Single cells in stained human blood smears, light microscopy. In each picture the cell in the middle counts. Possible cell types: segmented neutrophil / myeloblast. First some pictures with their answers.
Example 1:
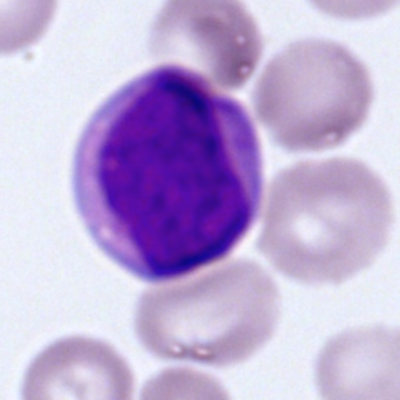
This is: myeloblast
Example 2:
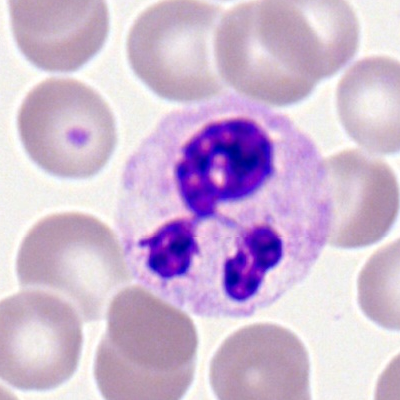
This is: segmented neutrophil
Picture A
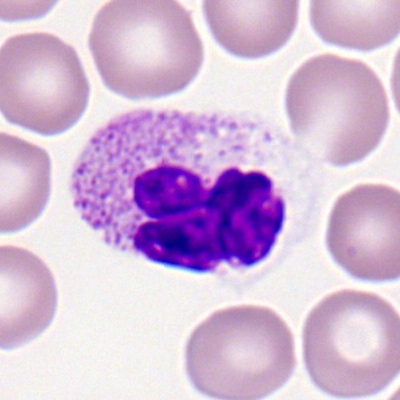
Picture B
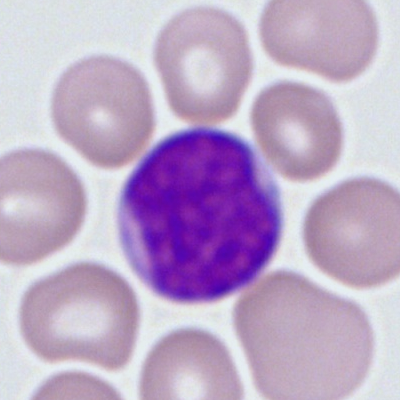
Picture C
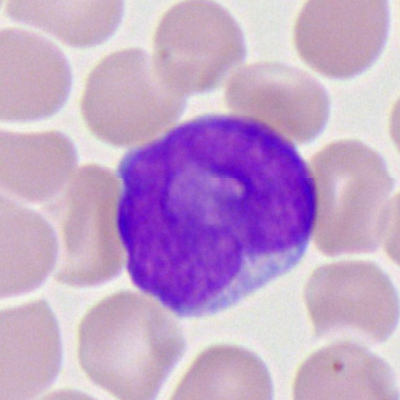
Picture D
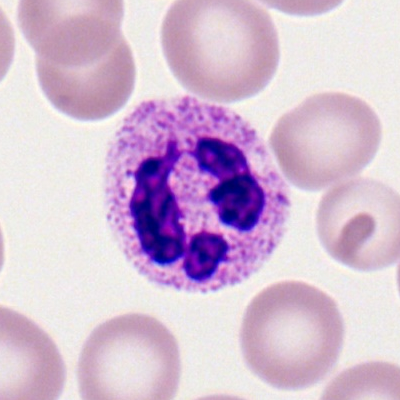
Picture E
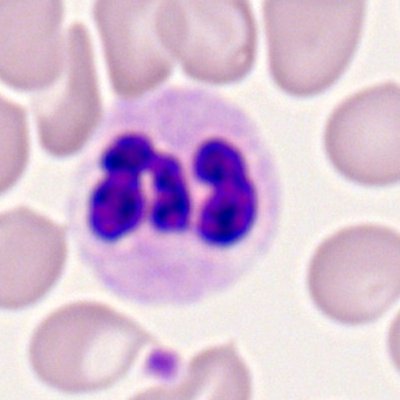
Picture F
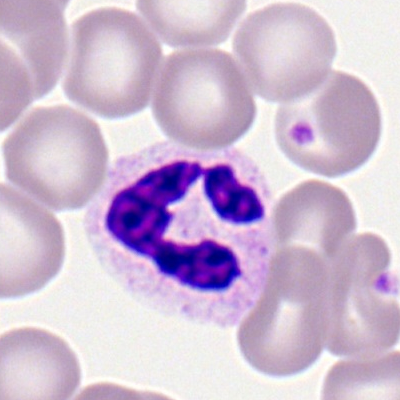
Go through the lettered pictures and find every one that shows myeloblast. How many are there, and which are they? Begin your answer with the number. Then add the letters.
2: B, C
